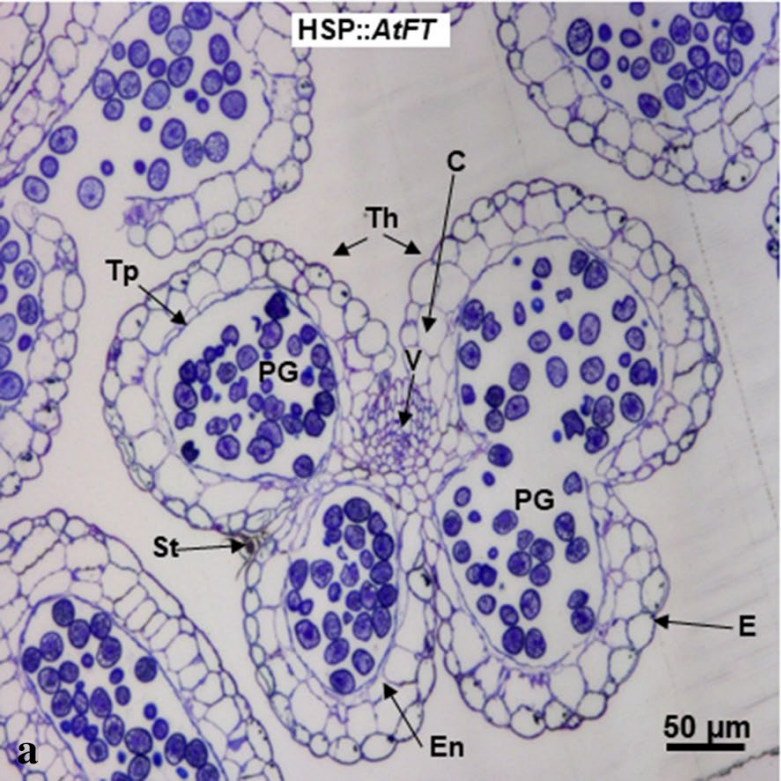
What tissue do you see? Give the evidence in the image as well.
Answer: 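Four locules are grouped around a central column of tissue. The locules are filled with many rounded, dark blue grains. Each locule is surrounded by a wall of several cell layers. That points to this answer: anther.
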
